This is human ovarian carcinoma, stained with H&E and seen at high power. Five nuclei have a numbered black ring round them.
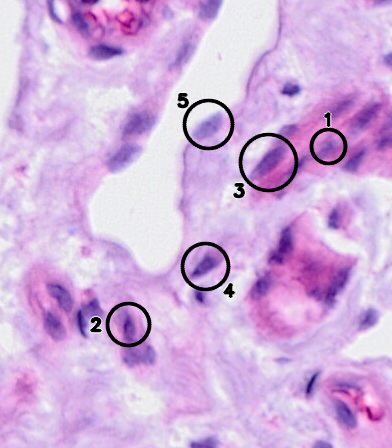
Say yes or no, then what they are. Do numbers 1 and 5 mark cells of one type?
No, the cell tagged 1 is a smooth muscle cell, whereas the cell tagged 5 is an endothelial cell.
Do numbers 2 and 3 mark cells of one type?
No, cell 2 is an endothelial cell, and cell 3 is, by contrast, a smooth muscle cell.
